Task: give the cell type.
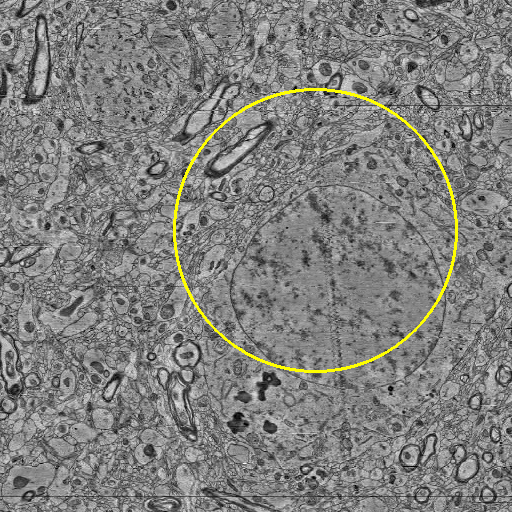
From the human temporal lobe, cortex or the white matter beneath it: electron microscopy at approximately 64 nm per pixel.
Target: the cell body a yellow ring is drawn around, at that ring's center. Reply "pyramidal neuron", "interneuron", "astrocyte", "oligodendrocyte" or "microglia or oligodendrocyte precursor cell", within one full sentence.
In this picture, the cell whose body lies at the ring's center is a pyramidal neuron.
